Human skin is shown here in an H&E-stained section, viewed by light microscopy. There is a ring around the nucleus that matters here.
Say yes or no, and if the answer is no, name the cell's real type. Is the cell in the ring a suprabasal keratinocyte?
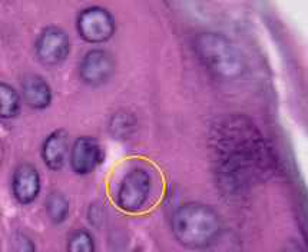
Yes.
